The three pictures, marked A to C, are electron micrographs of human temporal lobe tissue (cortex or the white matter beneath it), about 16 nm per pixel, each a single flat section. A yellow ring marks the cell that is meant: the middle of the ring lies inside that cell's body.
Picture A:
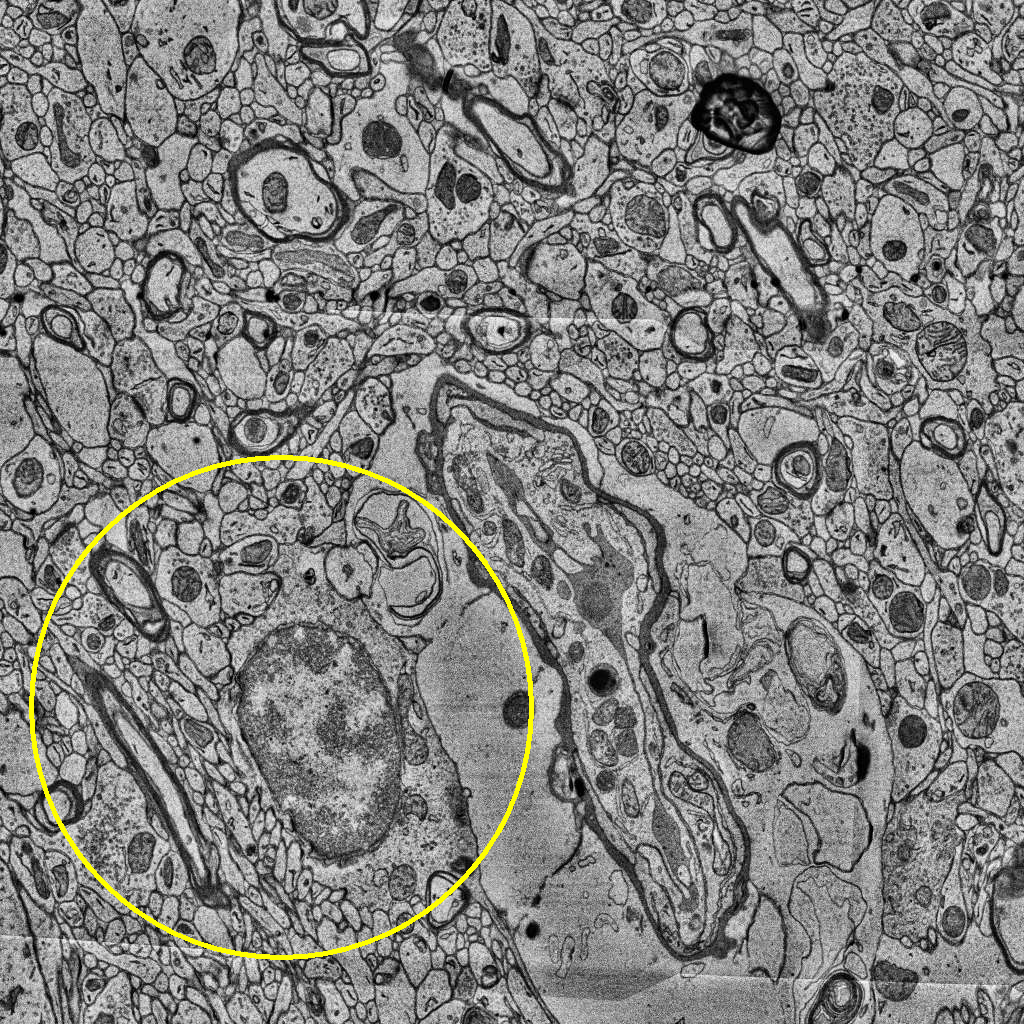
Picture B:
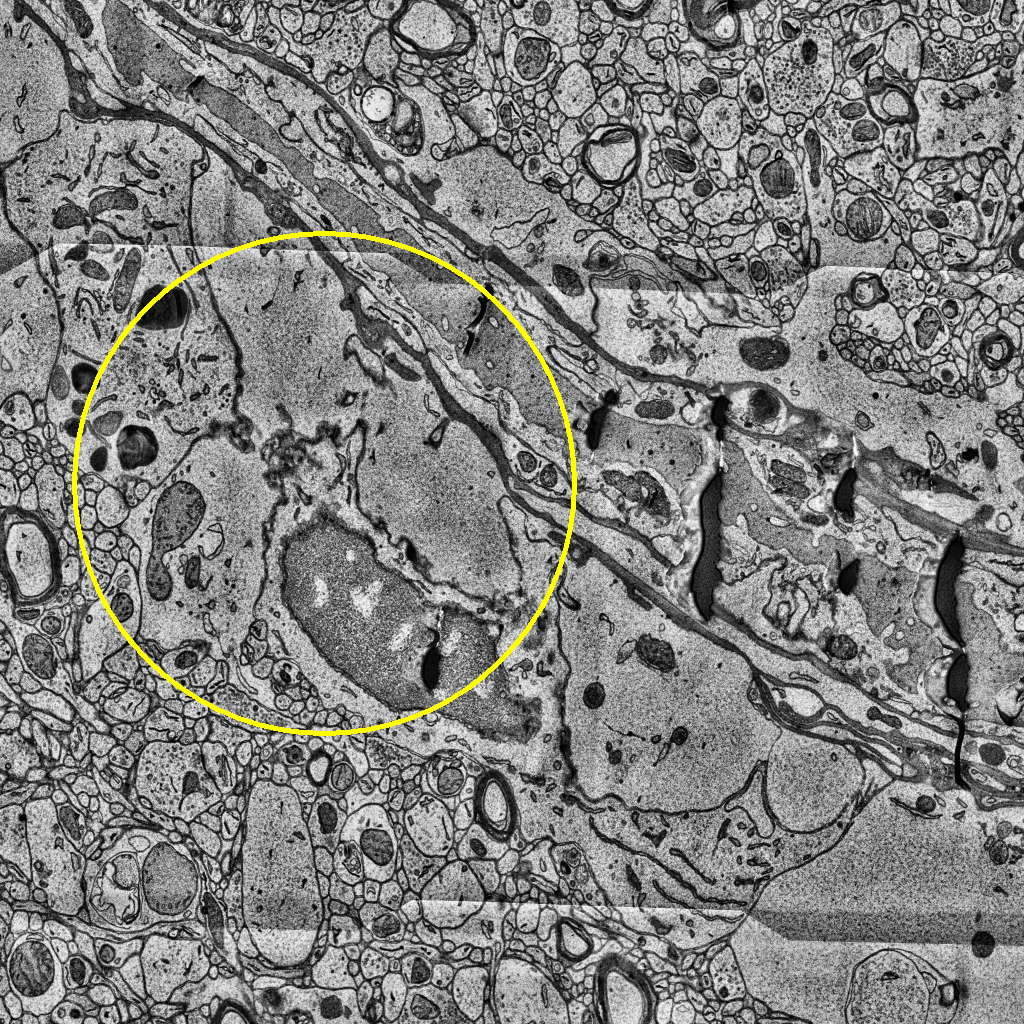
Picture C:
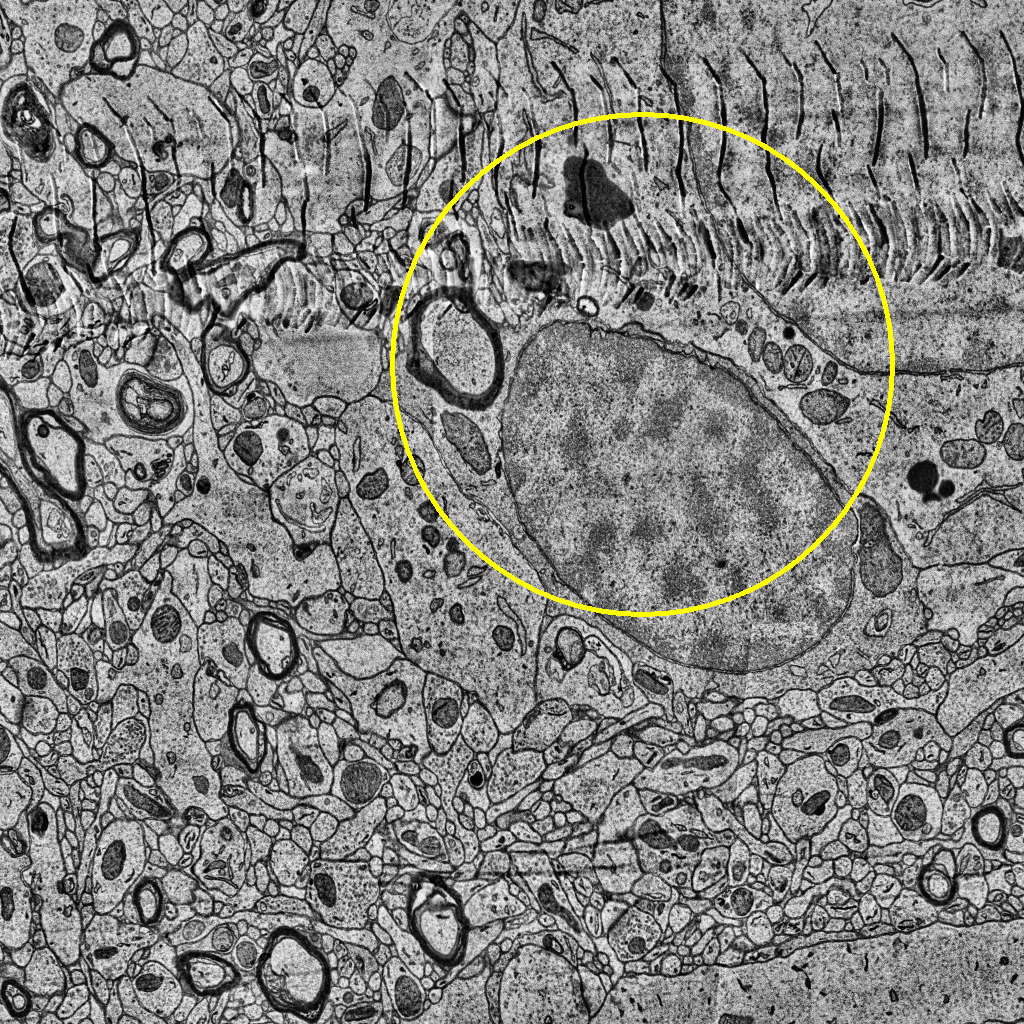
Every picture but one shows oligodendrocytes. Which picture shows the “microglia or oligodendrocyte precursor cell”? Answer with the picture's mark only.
B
